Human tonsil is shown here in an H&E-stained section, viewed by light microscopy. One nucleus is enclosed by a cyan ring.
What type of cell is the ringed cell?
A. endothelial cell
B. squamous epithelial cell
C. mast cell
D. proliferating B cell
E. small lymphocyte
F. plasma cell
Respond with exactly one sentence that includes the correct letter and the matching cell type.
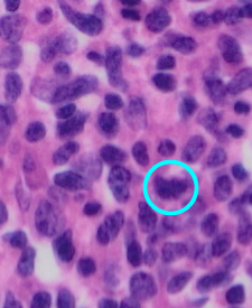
The correct pick is option D; the ringed cell is a proliferating B cell.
